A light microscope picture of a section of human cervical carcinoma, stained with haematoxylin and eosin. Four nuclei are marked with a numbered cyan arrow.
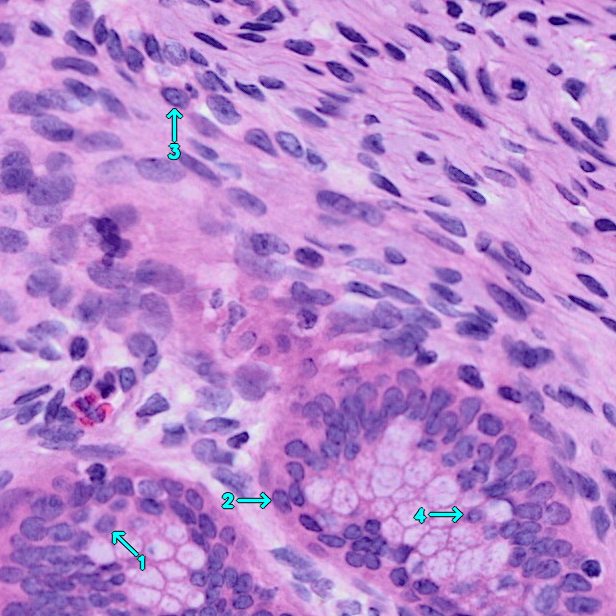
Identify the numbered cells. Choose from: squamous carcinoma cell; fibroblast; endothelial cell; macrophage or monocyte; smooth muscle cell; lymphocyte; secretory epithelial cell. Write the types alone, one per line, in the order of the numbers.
secretory epithelial cell
secretory epithelial cell
endothelial cell
secretory epithelial cell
